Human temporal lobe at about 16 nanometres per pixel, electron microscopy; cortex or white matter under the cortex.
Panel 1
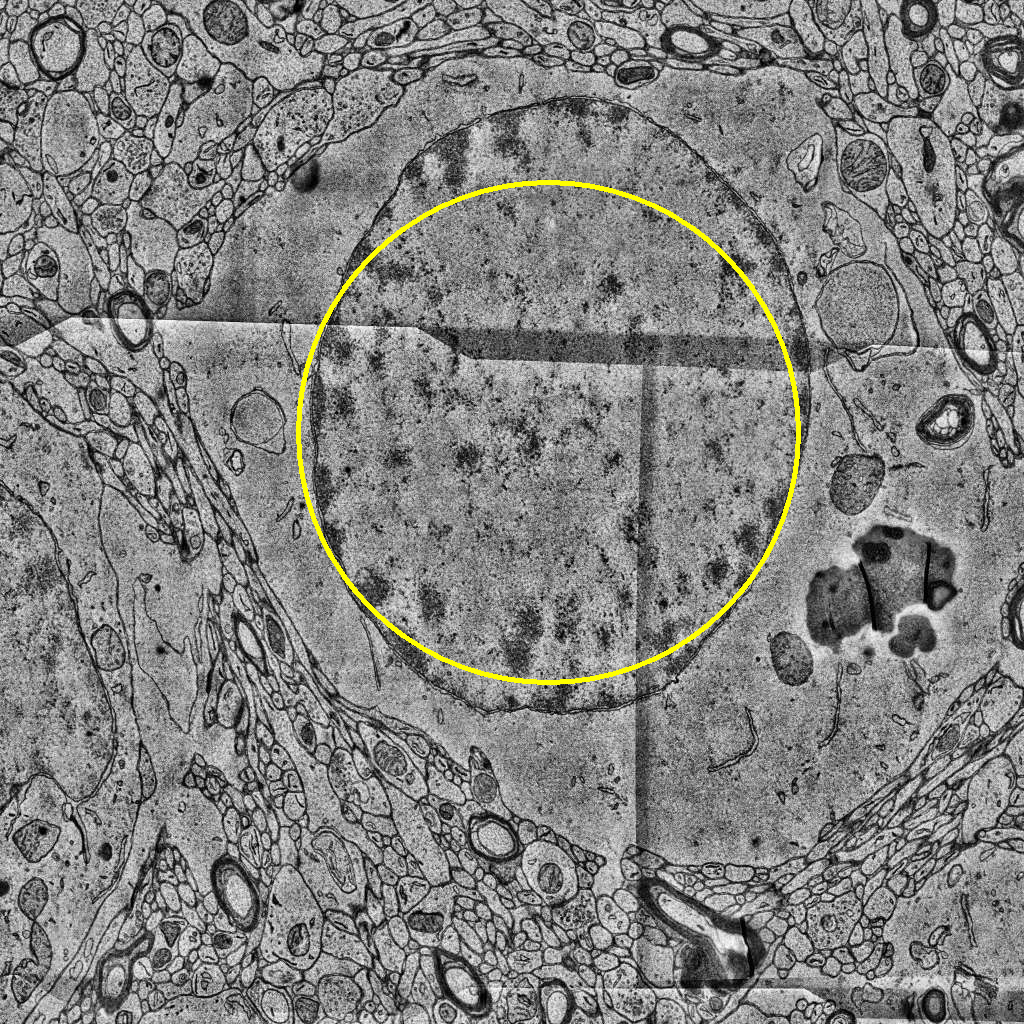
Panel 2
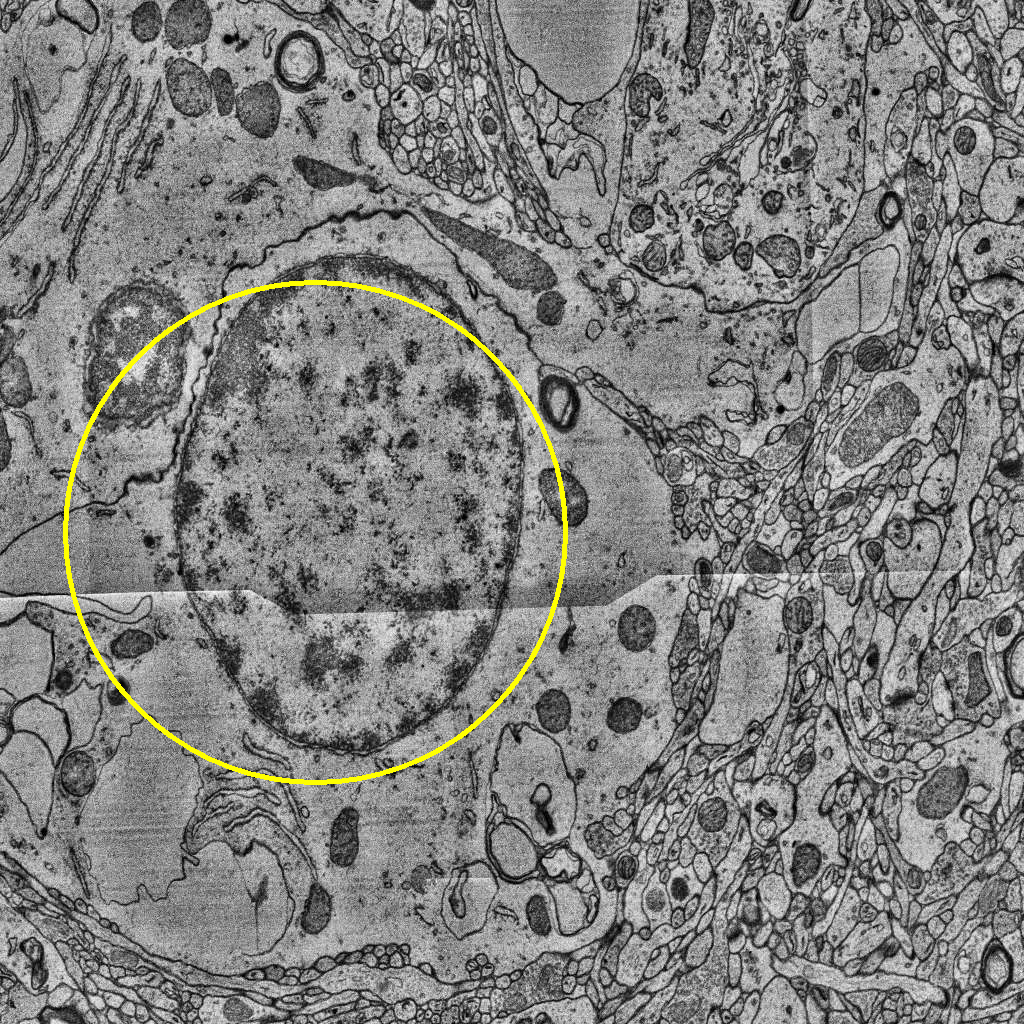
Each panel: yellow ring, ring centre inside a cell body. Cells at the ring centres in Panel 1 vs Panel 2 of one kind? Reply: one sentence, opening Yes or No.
Yes, Panel 1 and Panel 2 have cells of one kind at the ring centres.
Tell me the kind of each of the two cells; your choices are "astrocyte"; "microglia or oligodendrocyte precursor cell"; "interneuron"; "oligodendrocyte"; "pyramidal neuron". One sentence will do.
Both rings mark an astrocyte, one in each picture.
